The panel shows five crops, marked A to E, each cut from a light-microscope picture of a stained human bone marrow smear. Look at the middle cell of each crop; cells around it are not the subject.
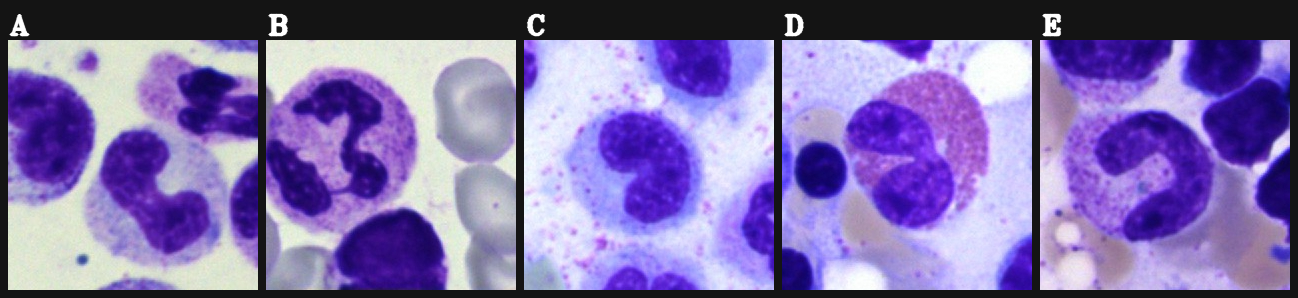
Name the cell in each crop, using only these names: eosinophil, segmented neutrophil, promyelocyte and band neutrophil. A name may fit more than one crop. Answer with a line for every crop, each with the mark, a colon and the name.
A: band neutrophil
B: segmented neutrophil
C: band neutrophil
D: eosinophil
E: band neutrophil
